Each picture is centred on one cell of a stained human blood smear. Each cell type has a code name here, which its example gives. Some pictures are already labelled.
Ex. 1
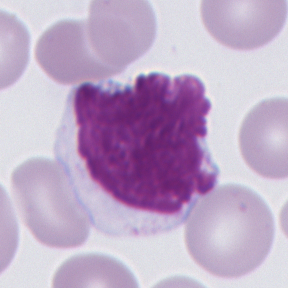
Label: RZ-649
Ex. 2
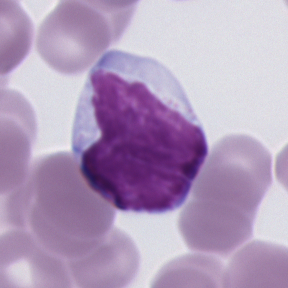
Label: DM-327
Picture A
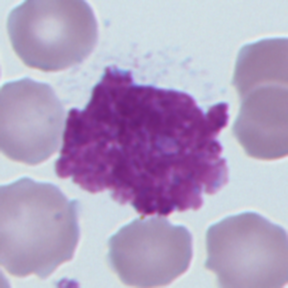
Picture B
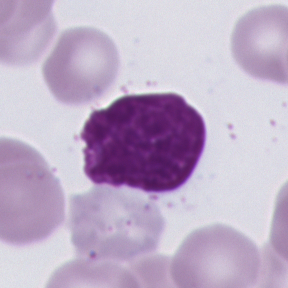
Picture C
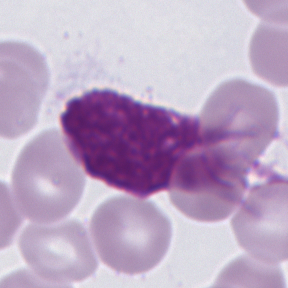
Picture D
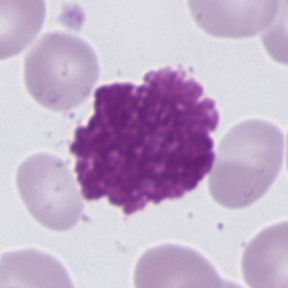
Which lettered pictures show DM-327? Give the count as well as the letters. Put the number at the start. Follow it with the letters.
0, none of them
